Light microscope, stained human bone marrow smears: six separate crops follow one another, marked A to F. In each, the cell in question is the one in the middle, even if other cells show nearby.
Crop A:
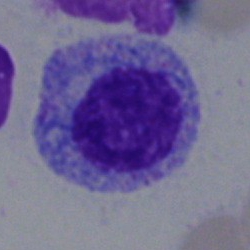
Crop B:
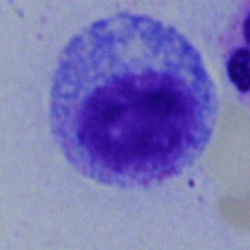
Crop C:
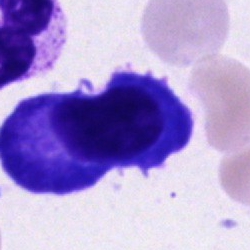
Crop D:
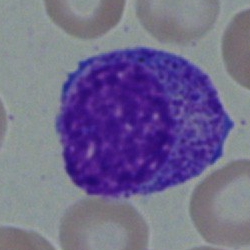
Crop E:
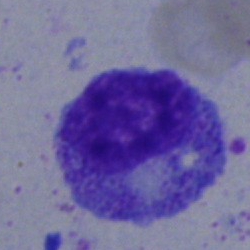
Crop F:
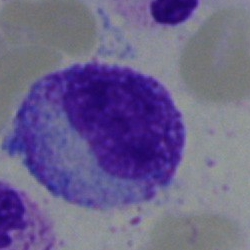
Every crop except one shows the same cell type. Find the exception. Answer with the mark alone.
C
